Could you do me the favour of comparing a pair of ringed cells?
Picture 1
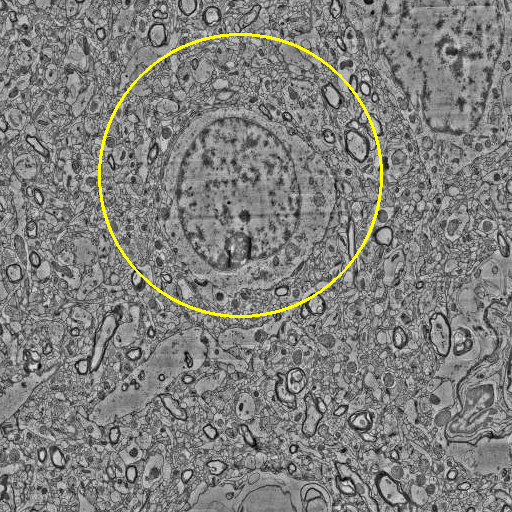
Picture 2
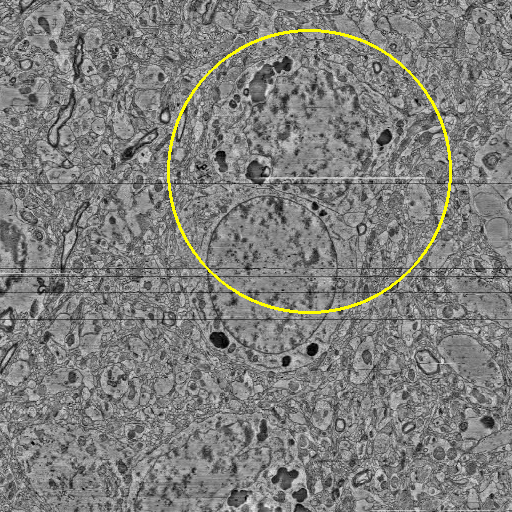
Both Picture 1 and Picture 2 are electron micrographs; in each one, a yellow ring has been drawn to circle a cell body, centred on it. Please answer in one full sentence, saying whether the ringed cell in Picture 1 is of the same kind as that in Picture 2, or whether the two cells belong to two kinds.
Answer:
The ringed cell in Picture 1 is of the same kind as that in Picture 2.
